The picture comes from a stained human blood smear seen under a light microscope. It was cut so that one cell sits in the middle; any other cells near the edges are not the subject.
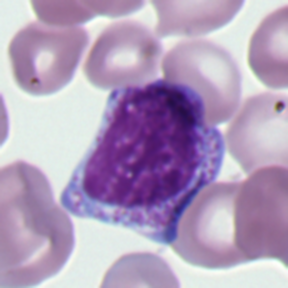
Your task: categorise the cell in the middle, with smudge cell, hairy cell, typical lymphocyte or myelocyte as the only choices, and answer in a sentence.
The cell under consideration, at the middle of the crop, is a myelocyte.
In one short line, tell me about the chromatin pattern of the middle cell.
Check the chromatin: it is fine and not coarsely clumped.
